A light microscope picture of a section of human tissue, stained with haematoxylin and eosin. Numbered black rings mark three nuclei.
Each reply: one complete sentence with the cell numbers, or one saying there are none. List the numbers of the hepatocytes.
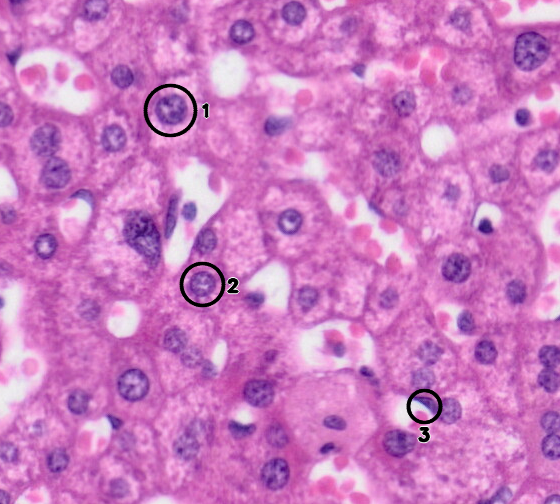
The cells referred to by numbers 1 and 2 are hepatocytes.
